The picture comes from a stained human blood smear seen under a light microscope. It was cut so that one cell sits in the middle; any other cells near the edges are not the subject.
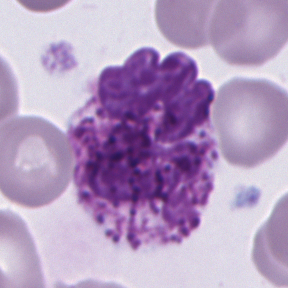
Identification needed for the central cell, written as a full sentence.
The crop centres on a single cell, and that cell is a basophil.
